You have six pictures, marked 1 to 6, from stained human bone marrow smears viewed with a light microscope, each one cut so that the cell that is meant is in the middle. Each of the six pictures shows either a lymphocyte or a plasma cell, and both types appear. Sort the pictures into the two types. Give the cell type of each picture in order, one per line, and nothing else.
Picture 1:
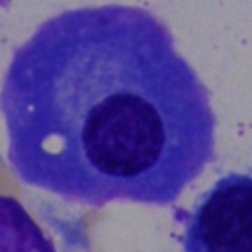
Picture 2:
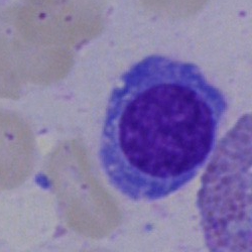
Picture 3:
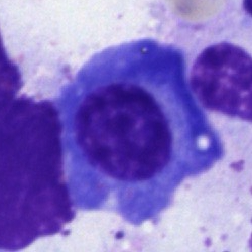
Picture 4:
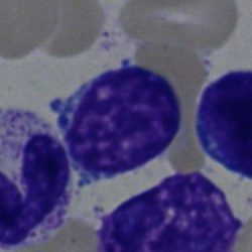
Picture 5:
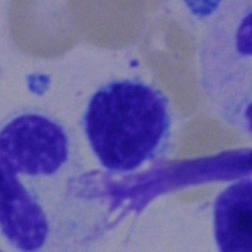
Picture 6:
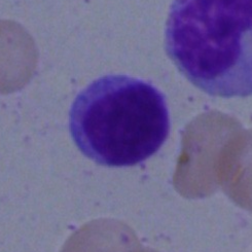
plasma cell
plasma cell
plasma cell
lymphocyte
lymphocyte
lymphocyte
